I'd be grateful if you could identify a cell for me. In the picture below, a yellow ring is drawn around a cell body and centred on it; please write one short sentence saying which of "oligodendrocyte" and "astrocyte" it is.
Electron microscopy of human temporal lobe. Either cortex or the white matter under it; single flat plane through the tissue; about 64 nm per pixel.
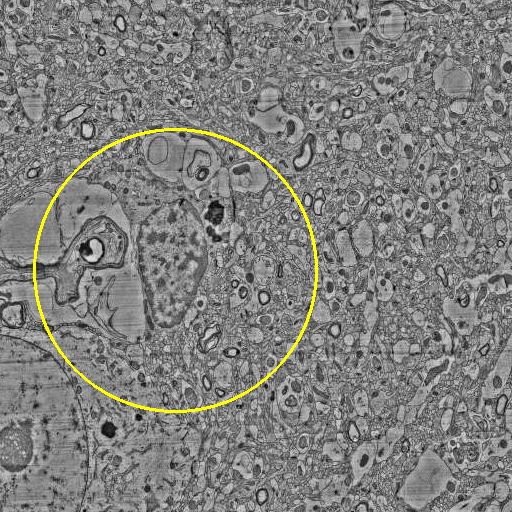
The cell under the ring's centre is an oligodendrocyte.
